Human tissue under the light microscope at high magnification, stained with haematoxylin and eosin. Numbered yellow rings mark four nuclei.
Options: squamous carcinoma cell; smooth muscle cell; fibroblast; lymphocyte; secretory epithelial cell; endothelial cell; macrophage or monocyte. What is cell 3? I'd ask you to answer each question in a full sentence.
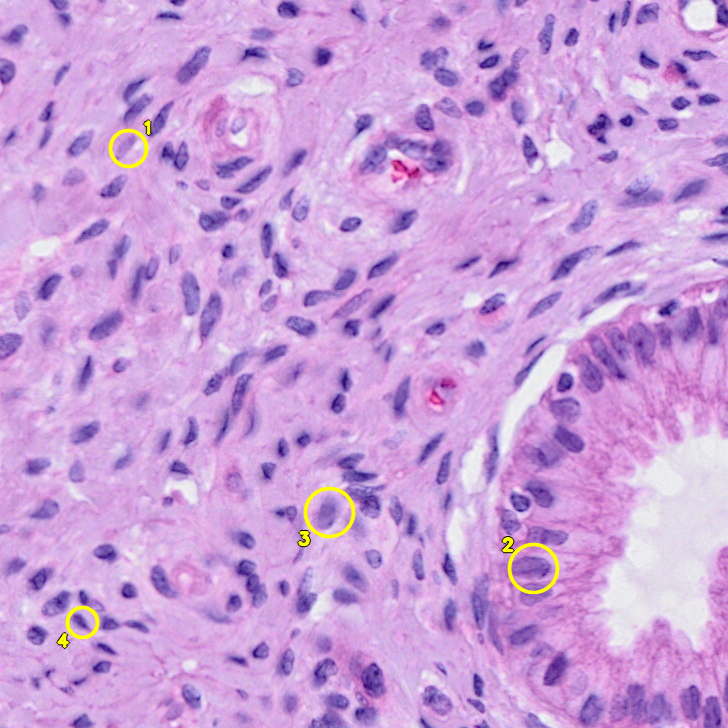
Recognised here as a fibroblast is the cell numbered 3.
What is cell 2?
Identified as a secretory epithelial cell is the cell bearing the number 2.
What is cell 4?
Denoted by the label 4 in the section is a fibroblast.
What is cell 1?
It is as a fibroblast that the cell numbered 1 is identified.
